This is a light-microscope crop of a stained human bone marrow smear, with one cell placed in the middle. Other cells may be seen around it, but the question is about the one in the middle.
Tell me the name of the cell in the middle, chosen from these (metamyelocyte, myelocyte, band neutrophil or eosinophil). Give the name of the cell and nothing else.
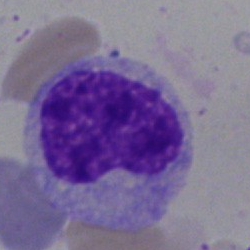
metamyelocyte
